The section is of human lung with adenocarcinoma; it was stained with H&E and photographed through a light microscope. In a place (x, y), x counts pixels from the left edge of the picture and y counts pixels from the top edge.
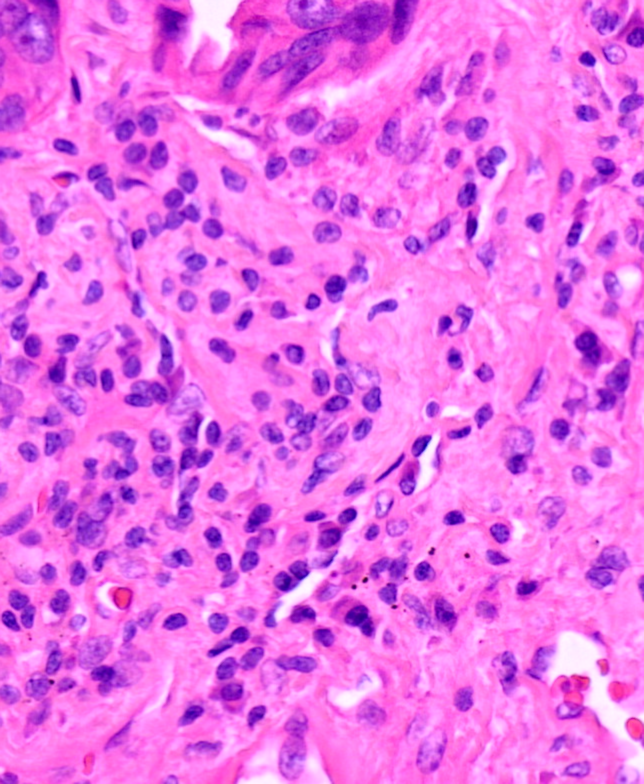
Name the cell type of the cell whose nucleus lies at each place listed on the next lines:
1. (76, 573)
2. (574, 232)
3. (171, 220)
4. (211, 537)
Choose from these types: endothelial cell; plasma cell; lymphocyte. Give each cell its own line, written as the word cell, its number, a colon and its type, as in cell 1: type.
cell 1: lymphocyte
cell 2: plasma cell
cell 3: lymphocyte
cell 4: lymphocyte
